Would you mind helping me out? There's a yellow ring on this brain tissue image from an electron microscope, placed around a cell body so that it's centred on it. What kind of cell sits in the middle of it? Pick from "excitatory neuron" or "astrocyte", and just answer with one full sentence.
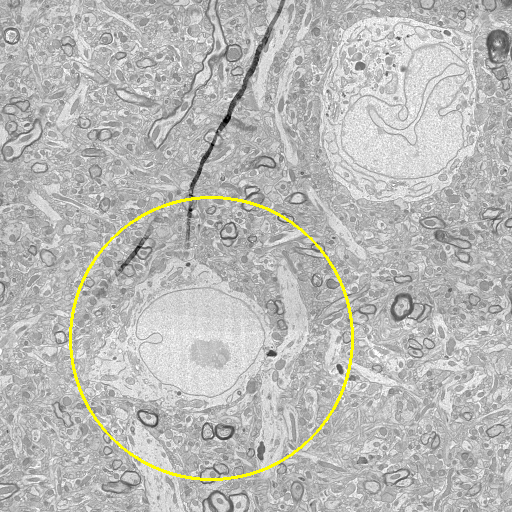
What sits in the middle of that yellow ring is an excitatory neuron, from your choices.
